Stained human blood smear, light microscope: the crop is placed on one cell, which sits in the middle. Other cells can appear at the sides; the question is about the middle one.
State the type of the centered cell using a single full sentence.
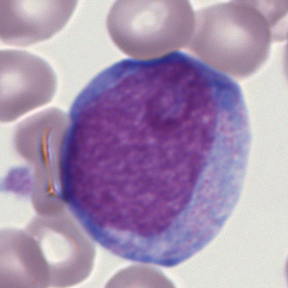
Positioned in the middle of the crop is a promyelocyte.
